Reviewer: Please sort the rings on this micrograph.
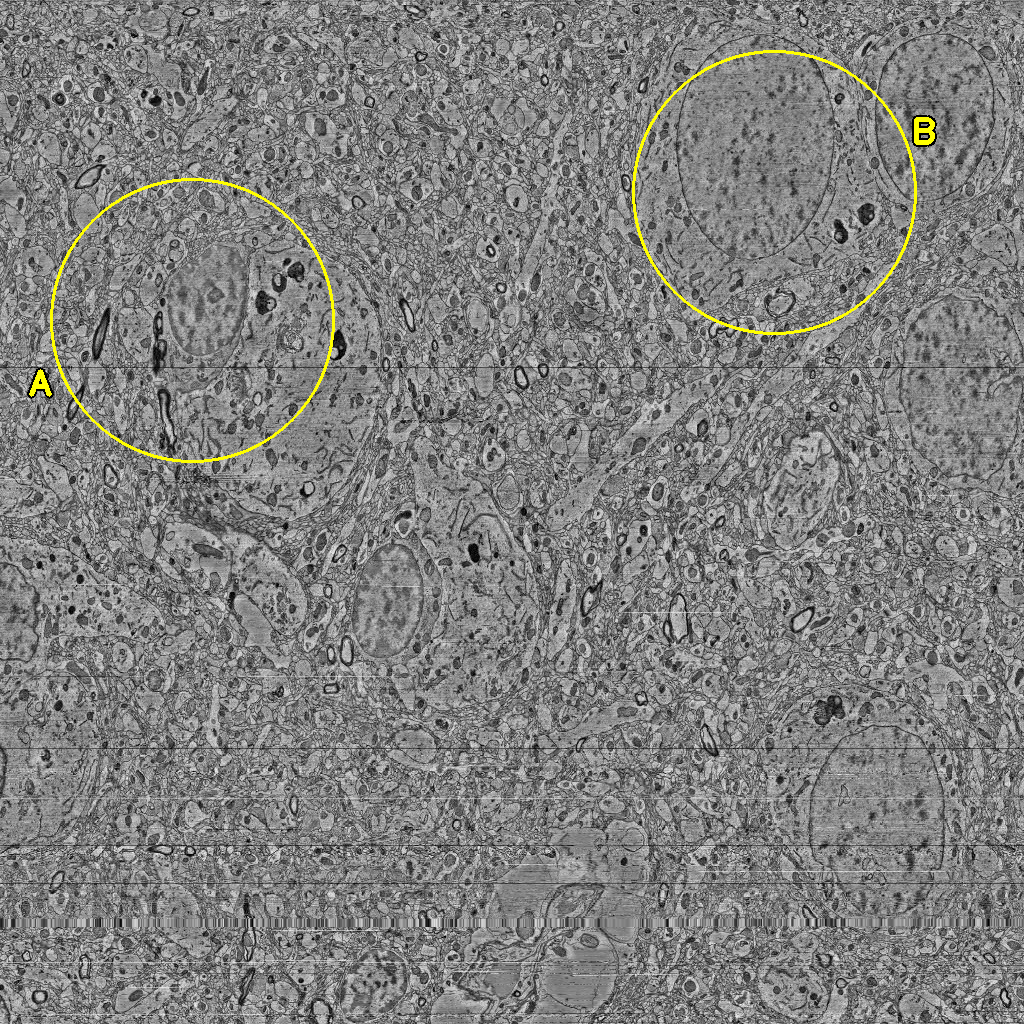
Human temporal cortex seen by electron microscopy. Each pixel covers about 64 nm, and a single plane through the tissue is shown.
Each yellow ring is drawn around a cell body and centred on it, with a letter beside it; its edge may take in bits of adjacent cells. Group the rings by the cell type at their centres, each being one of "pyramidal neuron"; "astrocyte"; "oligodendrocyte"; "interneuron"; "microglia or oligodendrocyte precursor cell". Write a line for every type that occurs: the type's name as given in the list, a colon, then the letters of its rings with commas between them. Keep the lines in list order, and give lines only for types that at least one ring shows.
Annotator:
pyramidal neuron: B
oligodendrocyte: A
